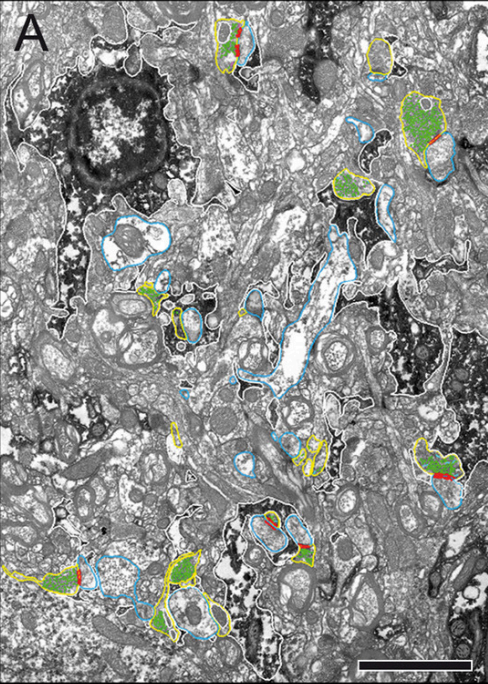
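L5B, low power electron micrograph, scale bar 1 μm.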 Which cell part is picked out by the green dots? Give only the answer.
Synaptic vesicles.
